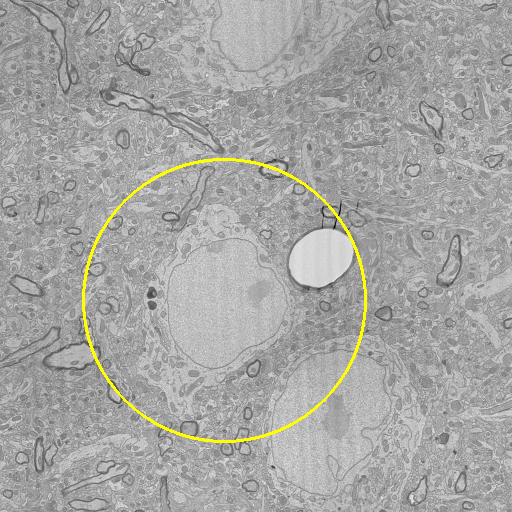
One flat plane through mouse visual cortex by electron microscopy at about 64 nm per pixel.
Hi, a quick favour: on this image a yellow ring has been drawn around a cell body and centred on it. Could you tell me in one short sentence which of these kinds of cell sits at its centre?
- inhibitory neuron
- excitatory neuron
The ring is centred on an excitatory neuron.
